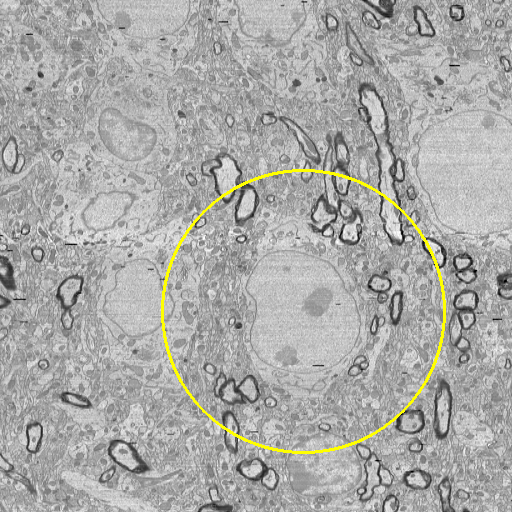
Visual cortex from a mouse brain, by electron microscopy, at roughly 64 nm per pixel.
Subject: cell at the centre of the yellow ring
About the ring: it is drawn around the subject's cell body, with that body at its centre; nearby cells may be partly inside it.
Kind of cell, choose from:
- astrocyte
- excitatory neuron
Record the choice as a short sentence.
The subject cell is an excitatory neuron.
